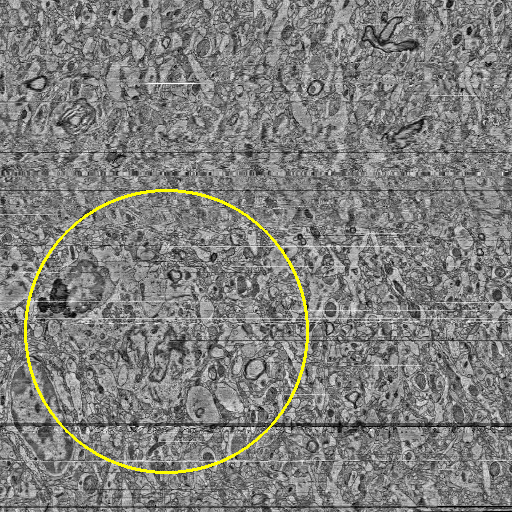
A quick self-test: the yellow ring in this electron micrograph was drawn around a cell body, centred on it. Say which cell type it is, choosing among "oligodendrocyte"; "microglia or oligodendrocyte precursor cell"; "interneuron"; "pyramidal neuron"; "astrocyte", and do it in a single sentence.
The yellow-ringed cell is an interneuron.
